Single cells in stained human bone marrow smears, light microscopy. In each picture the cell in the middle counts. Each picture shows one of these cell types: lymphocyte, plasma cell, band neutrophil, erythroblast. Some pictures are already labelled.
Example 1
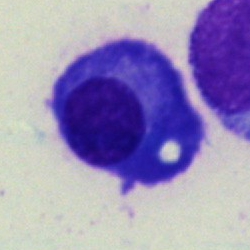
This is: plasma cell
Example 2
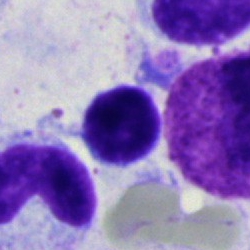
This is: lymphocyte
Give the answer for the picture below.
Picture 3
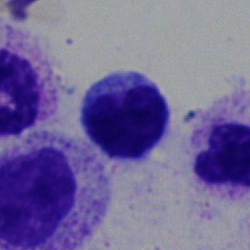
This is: lymphocyte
